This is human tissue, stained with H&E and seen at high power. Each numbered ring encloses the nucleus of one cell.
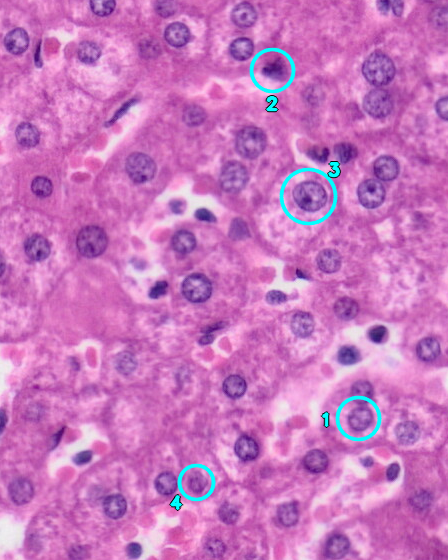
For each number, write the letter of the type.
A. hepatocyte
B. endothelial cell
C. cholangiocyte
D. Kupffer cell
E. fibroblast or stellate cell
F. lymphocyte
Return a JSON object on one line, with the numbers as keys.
{"1": "A", "2": "B", "3": "A", "4": "A"}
